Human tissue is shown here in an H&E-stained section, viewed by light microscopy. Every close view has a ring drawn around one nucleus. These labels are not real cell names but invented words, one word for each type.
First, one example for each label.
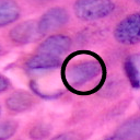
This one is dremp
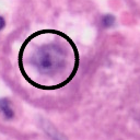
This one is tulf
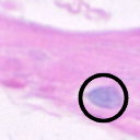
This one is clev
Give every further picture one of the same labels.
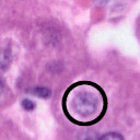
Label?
tulf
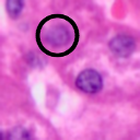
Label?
tulf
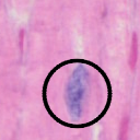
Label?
clev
